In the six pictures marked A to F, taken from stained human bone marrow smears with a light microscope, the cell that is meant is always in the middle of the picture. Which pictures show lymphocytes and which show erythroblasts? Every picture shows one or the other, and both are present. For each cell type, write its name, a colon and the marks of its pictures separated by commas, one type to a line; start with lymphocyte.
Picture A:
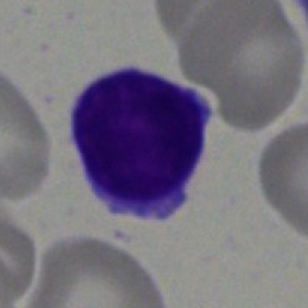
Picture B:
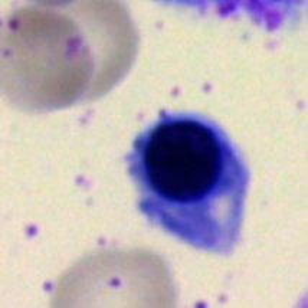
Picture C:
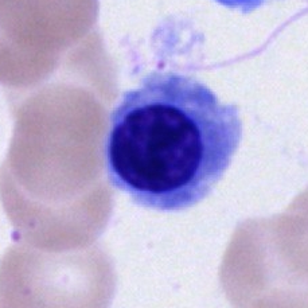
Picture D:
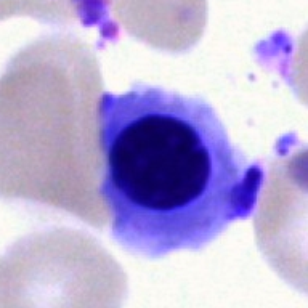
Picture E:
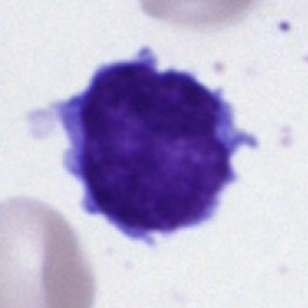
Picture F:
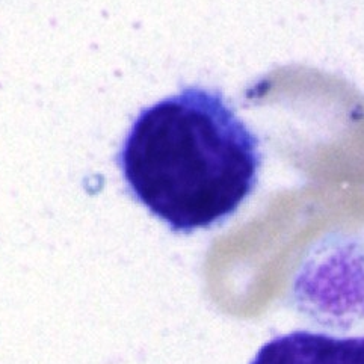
lymphocyte: A, E, F
erythroblast: B, C, D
